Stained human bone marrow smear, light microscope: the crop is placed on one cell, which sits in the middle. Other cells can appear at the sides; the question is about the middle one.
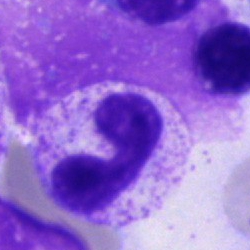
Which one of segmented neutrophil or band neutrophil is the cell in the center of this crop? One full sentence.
The cell centered in this field of view is a band neutrophil.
